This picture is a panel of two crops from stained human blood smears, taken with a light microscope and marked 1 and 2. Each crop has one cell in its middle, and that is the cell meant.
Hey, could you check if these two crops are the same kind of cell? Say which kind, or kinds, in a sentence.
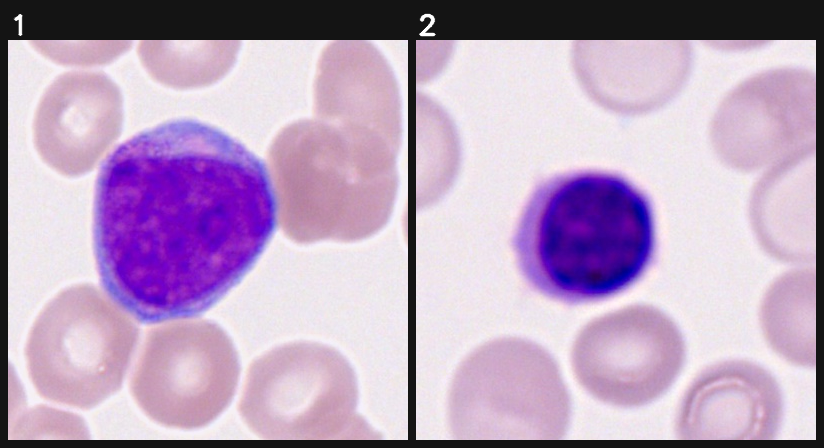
No, that is not right; crop 1 shows a blast and crop 2 shows a lymphocyte.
